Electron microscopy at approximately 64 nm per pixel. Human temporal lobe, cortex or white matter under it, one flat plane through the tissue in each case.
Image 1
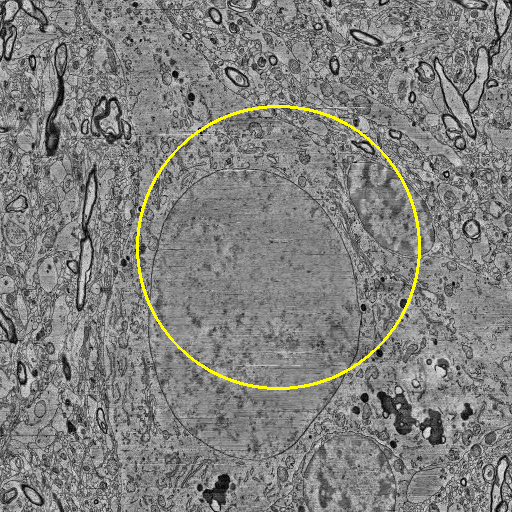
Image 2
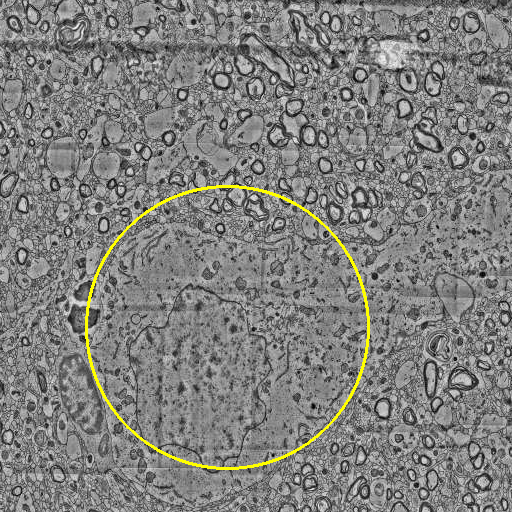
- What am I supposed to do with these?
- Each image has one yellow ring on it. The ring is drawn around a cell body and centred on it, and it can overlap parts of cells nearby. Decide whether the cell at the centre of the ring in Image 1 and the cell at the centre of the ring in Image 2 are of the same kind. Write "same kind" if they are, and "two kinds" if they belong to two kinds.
same kind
